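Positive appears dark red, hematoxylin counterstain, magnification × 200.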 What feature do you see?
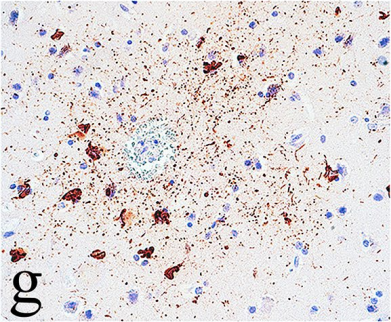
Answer: small blood vessels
